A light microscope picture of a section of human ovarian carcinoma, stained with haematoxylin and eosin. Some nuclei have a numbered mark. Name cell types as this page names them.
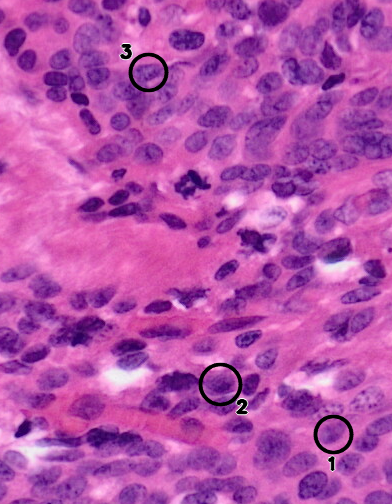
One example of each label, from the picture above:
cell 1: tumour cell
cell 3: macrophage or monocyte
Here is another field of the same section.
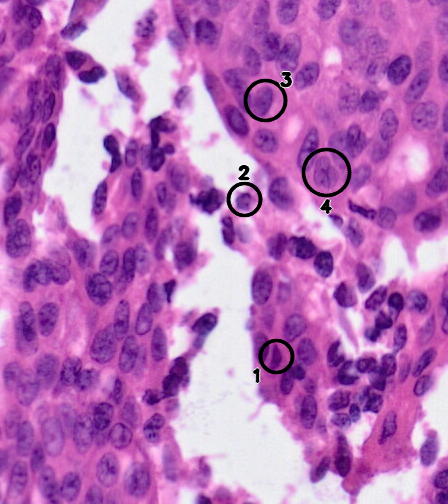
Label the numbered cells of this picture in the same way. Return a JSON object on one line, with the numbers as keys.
{"1": "tumour cell", "2": "macrophage or monocyte", "3": "tumour cell", "4": "tumour cell"}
